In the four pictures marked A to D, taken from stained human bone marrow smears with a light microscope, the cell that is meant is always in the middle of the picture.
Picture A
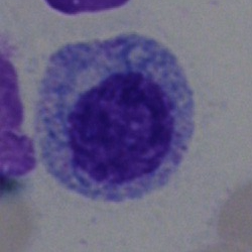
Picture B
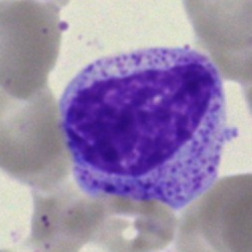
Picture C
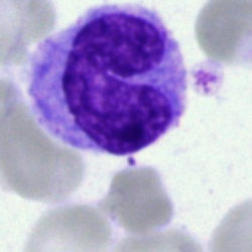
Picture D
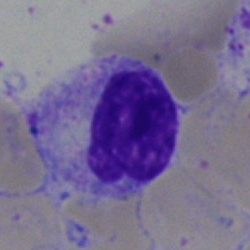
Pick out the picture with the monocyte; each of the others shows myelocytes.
C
